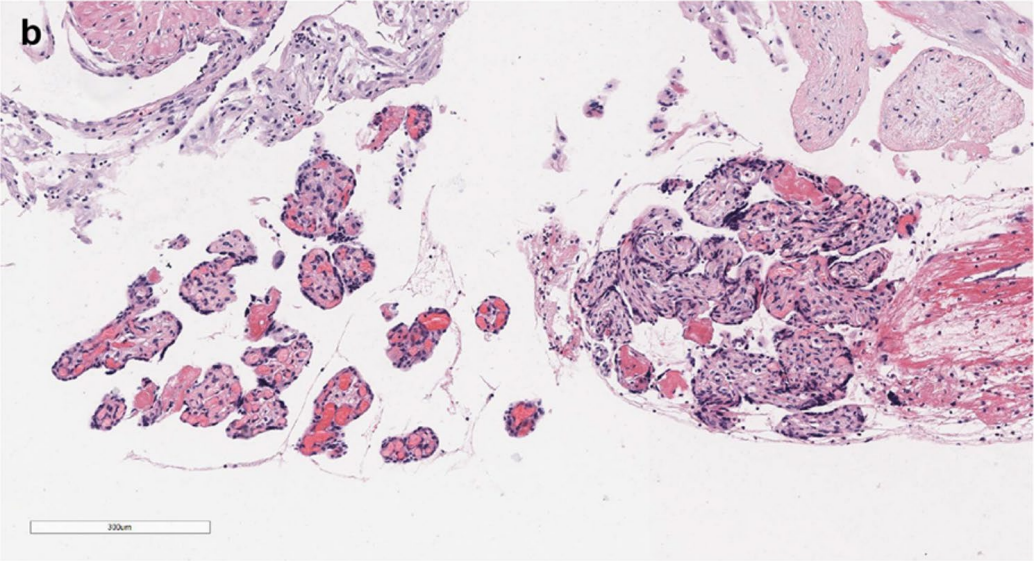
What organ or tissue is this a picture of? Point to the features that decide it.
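Many small rounded and branching fragments lie free in clear space. Each fragment is edged by a rim of dark-staining nuclei. The fragment cores contain small vessels filled with red blood cells. On this evidence: placental villi.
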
